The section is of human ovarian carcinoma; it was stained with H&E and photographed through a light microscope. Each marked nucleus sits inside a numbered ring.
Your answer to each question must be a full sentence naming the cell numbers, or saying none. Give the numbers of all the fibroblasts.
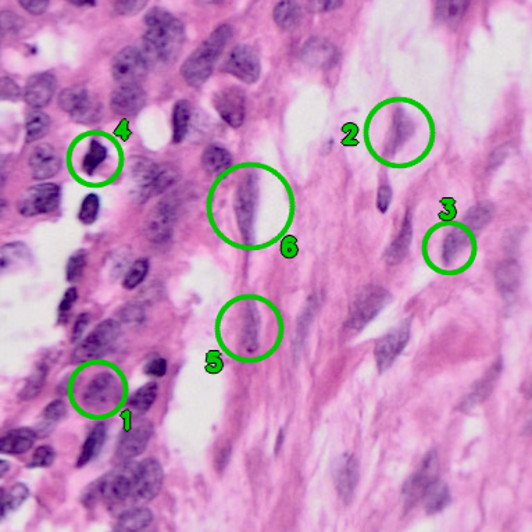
In this section, the cells labelled 2, 3, 5 and 6 are fibroblasts.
